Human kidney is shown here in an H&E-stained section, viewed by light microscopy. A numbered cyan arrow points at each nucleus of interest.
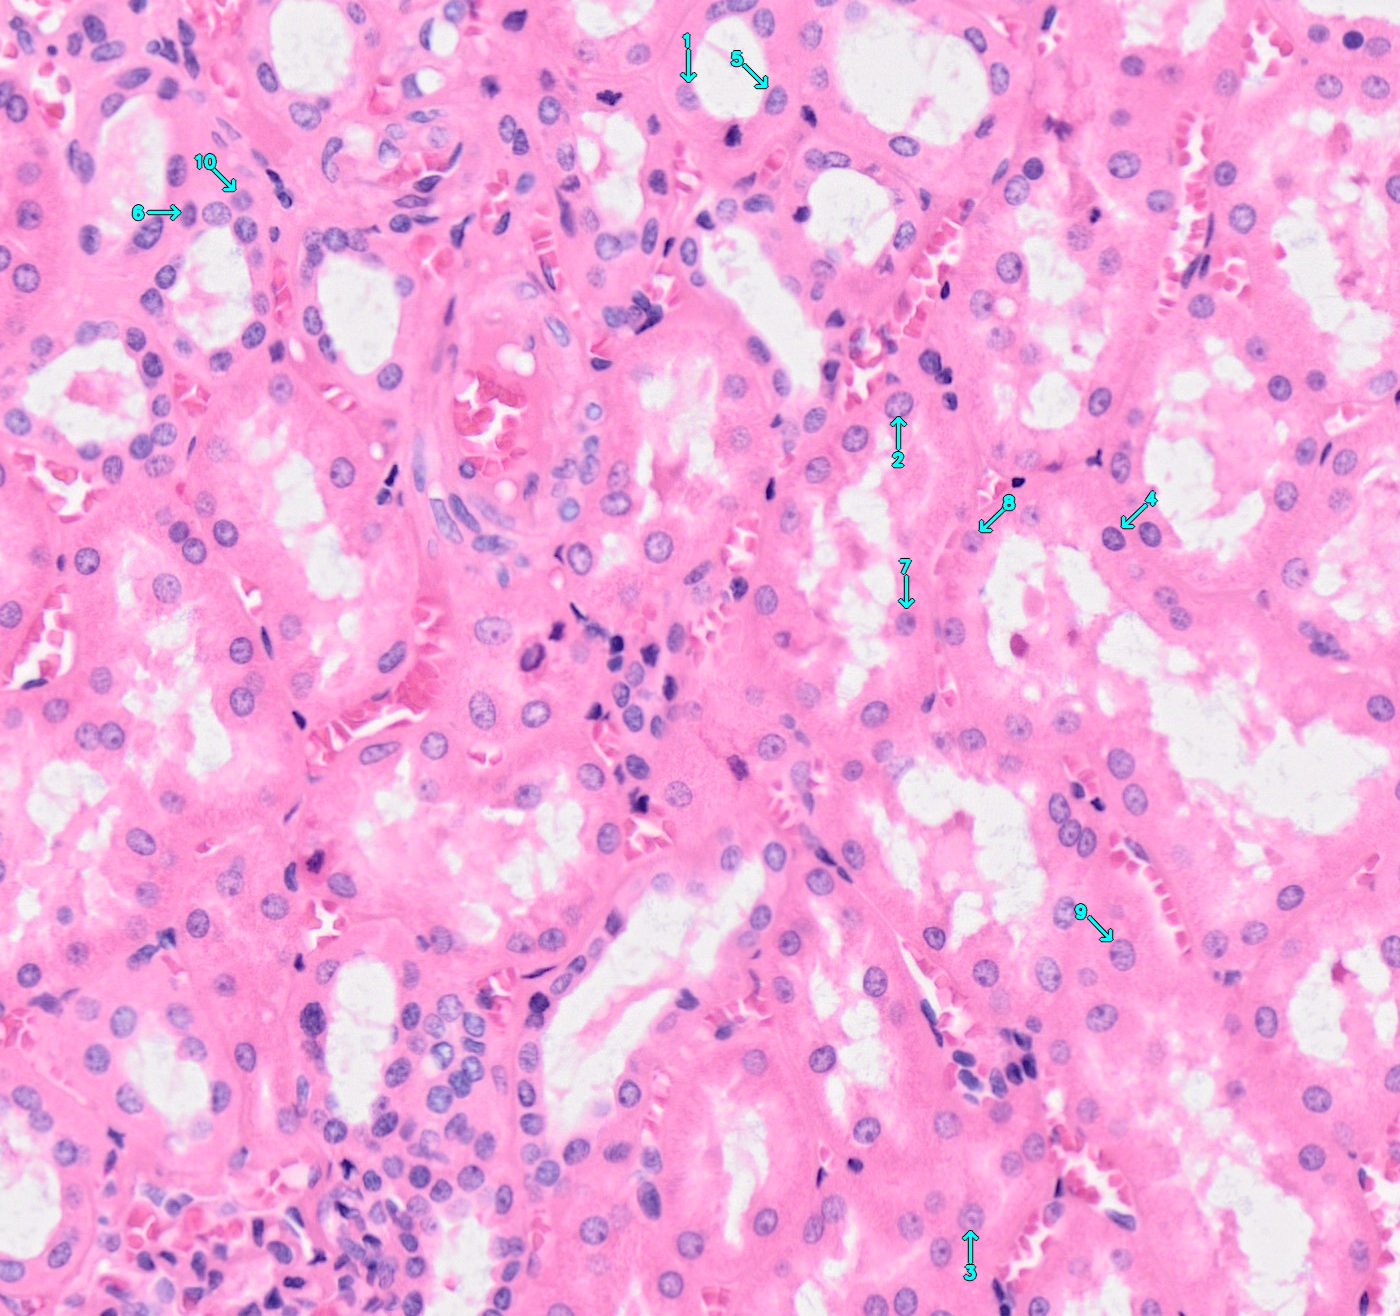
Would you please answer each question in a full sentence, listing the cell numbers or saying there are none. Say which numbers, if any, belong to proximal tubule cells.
The cells with the number labels 2, 3, 4, 7, 8 and 9 are proximal tubule cells.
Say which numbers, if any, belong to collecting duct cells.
The cells numbered 6 and 10 are typed as collecting duct cells.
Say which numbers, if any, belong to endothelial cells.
Any endothelial cells present in the section are not among the numbered cells.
